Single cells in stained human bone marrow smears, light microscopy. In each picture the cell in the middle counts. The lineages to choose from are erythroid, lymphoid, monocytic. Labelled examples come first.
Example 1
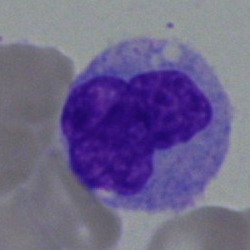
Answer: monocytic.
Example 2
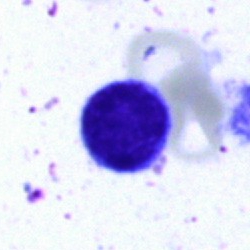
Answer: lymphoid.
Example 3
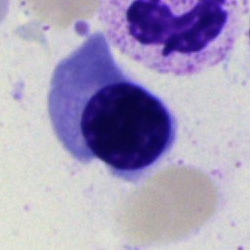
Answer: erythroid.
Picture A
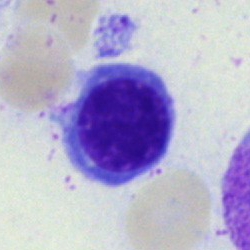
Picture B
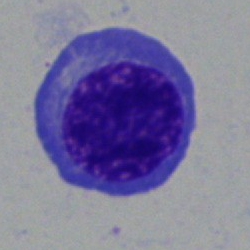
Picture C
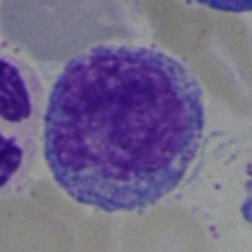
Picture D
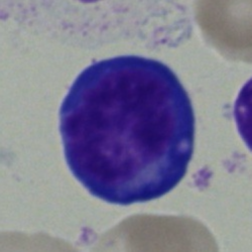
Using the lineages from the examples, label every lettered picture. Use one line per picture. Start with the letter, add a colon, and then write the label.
A: erythroid.
B: erythroid.
C: monocytic.
D: erythroid.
